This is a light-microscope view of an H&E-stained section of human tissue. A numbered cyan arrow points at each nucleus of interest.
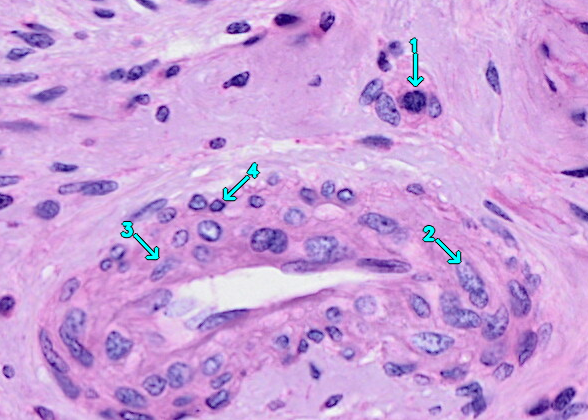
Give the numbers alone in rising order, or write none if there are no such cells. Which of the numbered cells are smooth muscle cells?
2, 3, 4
